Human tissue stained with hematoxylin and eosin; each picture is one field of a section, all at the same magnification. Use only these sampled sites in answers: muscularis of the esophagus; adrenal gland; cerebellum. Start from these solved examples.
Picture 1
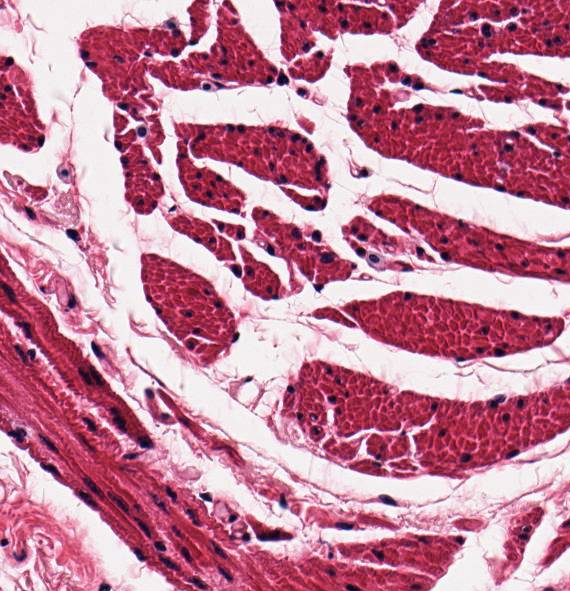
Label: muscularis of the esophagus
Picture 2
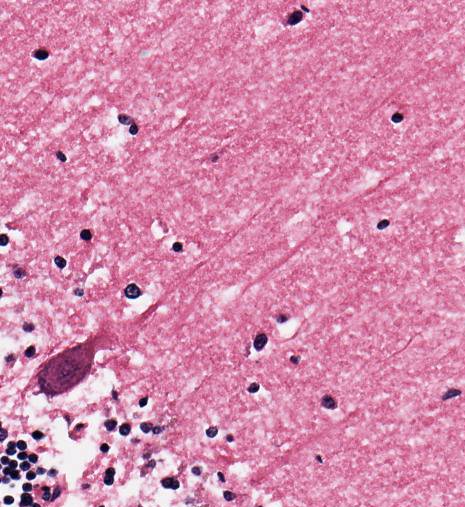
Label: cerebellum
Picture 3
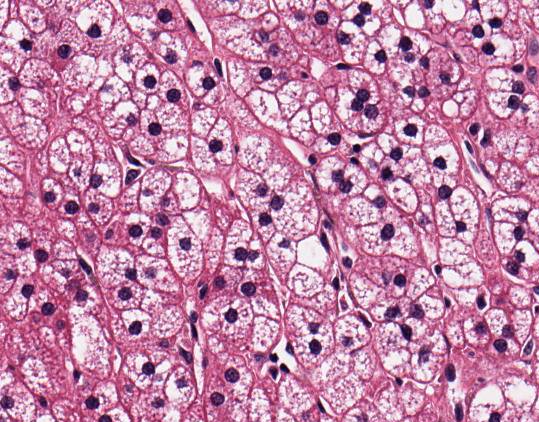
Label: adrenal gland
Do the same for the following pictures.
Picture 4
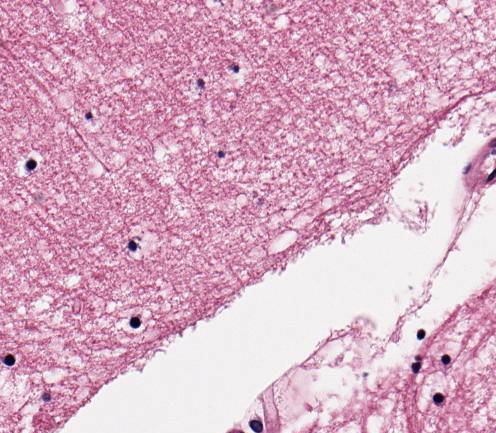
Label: cerebellum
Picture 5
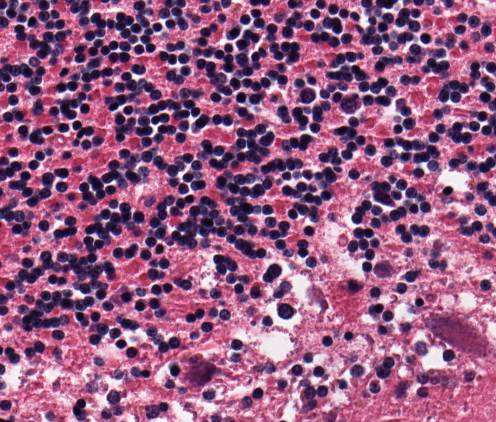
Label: cerebellum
